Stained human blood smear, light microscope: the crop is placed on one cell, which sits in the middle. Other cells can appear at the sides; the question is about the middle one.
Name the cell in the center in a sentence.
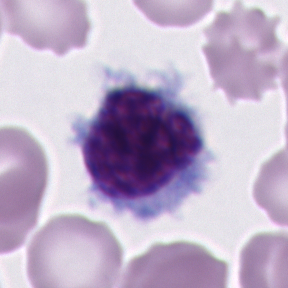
At the middle of the frame sits a hairy cell.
